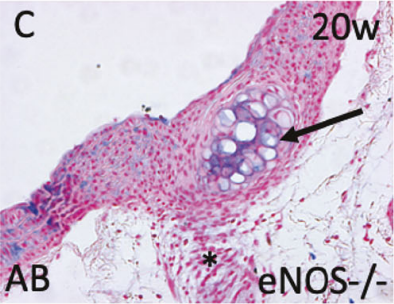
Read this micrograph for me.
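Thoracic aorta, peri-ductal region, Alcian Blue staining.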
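The wall is made of densely packed elongated cells with pink-red nuclei. Loose, pale connective tissue lies outside the wall below, where a fibrous band joins it.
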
